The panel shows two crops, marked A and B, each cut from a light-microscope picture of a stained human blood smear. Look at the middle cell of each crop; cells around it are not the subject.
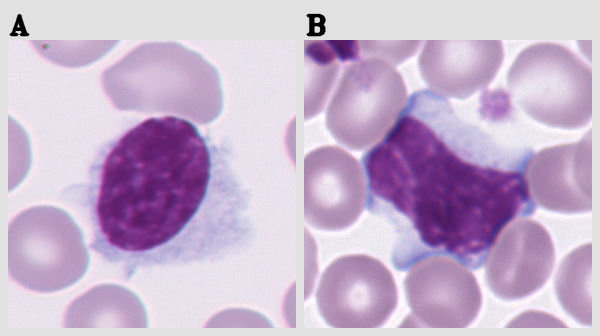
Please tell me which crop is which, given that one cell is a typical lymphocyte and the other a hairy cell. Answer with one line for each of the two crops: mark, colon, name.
A: hairy cell
B: typical lymphocyte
